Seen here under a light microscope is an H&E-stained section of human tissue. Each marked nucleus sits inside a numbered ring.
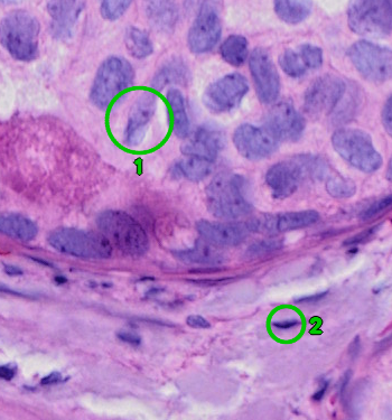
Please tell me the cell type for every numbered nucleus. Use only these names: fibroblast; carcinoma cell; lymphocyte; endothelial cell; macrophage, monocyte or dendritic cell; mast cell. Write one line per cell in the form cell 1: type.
cell 1: carcinoma cell
cell 2: fibroblast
